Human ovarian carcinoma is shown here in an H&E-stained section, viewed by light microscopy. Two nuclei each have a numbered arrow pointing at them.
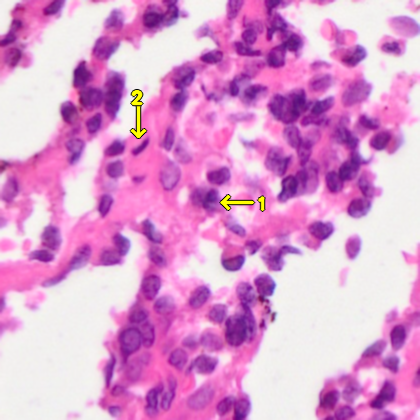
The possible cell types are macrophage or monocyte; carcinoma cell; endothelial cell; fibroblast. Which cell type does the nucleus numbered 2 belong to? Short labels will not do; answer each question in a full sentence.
Identified by the number 2, the cell is an endothelial cell.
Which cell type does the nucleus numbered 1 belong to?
The mark numbered 1 indicates the nucleus of a carcinoma cell.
